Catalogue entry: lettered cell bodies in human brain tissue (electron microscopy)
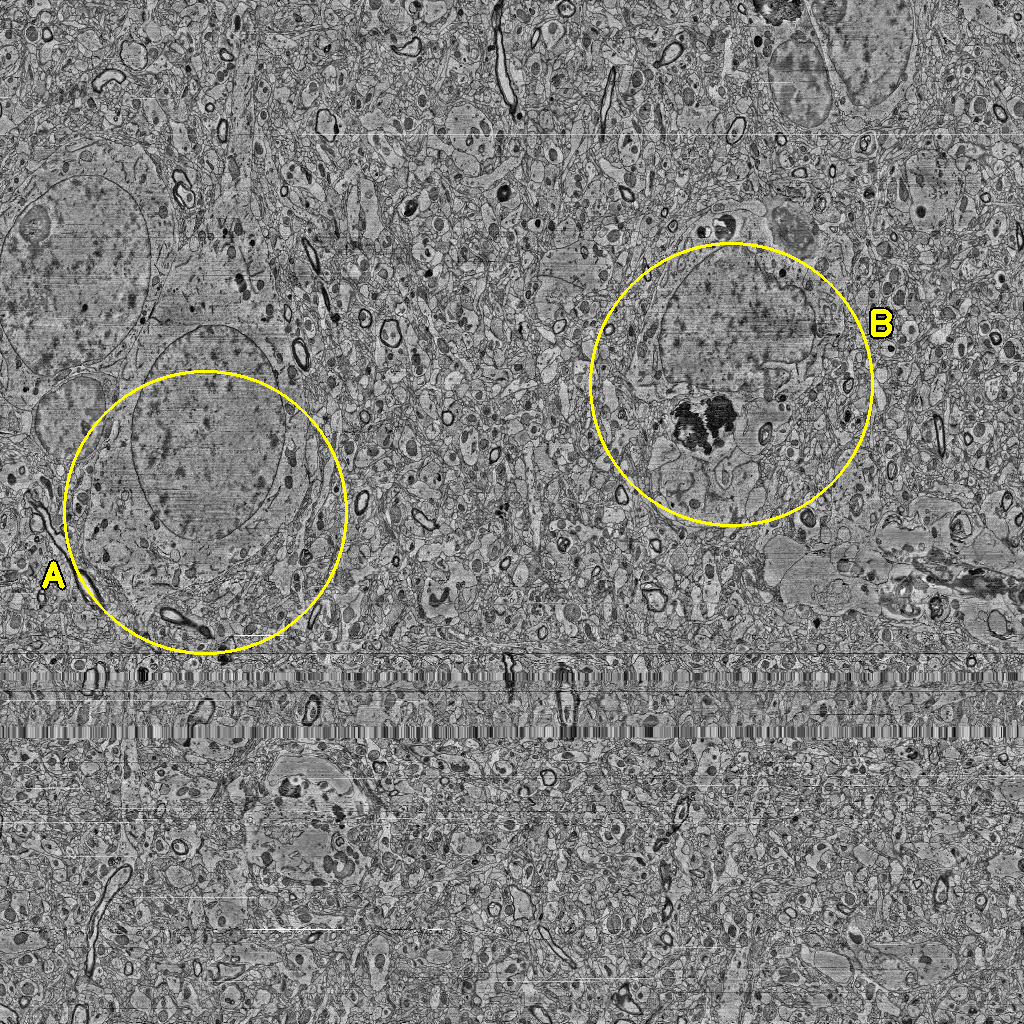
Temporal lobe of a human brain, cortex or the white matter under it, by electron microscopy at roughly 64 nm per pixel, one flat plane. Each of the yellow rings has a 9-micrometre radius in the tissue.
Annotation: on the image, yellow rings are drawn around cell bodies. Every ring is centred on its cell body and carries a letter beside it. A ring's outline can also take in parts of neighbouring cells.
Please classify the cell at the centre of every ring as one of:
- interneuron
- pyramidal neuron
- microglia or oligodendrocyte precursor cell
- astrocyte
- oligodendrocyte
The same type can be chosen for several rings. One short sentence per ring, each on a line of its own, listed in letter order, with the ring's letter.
Ring A is classified as a pyramidal neuron.
Ring B is classified as an interneuron.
